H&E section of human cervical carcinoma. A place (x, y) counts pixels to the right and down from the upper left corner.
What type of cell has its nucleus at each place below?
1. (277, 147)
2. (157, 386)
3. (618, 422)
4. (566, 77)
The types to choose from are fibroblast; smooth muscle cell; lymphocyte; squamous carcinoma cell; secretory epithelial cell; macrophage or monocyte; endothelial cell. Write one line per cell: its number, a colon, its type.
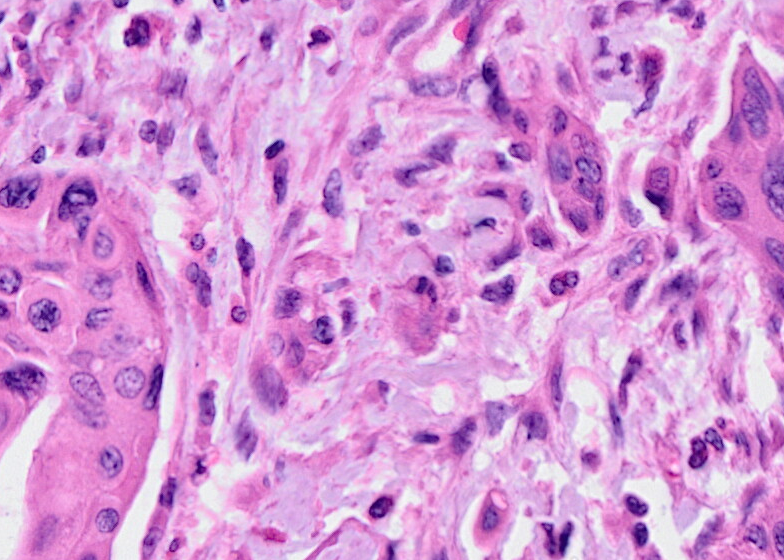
1: lymphocyte
2: squamous carcinoma cell
3: fibroblast
4: fibroblast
